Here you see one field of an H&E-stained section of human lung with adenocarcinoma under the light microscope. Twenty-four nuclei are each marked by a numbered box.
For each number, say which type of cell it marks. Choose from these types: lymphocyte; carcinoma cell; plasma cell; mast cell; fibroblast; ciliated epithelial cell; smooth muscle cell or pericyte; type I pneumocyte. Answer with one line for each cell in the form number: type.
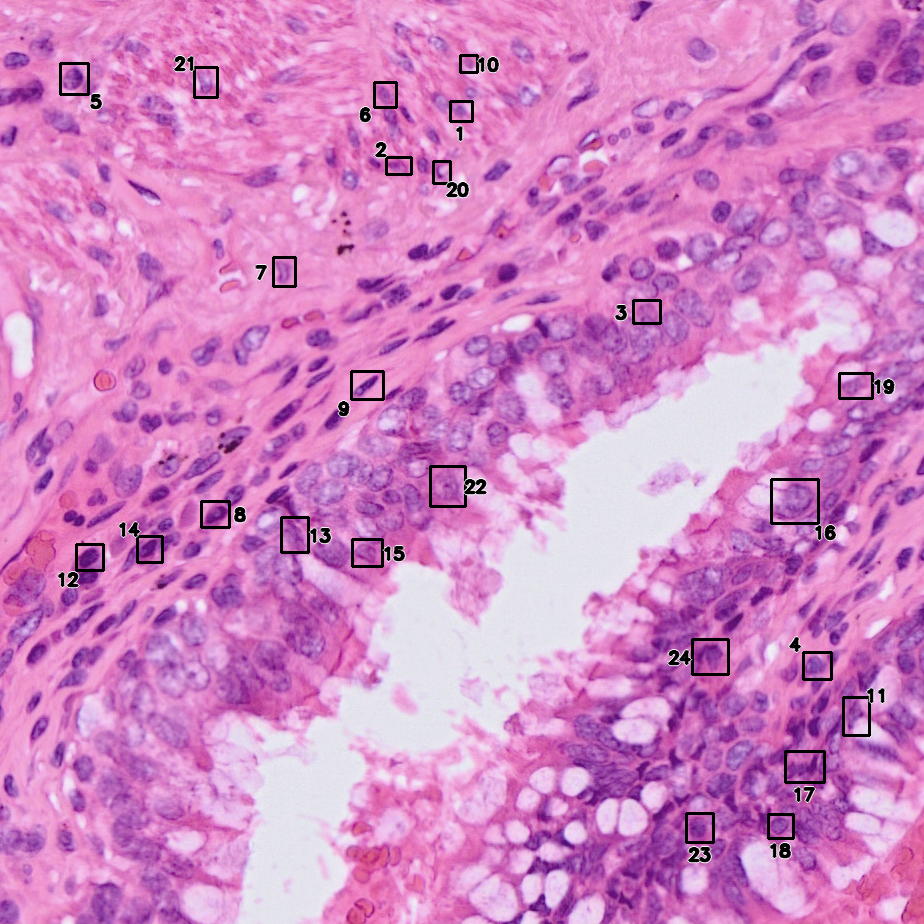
1: smooth muscle cell or pericyte
2: smooth muscle cell or pericyte
3: ciliated epithelial cell
4: lymphocyte
5: lymphocyte
6: smooth muscle cell or pericyte
7: fibroblast
8: plasma cell
9: mast cell
10: smooth muscle cell or pericyte
11: ciliated epithelial cell
12: plasma cell
13: ciliated epithelial cell
14: plasma cell
15: ciliated epithelial cell
16: ciliated epithelial cell
17: ciliated epithelial cell
18: ciliated epithelial cell
19: ciliated epithelial cell
20: smooth muscle cell or pericyte
21: smooth muscle cell or pericyte
22: ciliated epithelial cell
23: ciliated epithelial cell
24: ciliated epithelial cell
